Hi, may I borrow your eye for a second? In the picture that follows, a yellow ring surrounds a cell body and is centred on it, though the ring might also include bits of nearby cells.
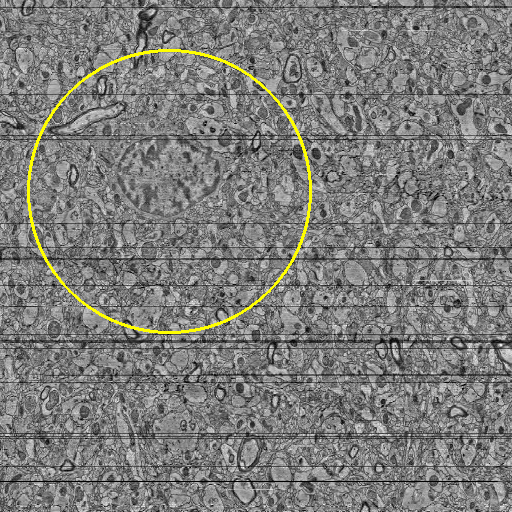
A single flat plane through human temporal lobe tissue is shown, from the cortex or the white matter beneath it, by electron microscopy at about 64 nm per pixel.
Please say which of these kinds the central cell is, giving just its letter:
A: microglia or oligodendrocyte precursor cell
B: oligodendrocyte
B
